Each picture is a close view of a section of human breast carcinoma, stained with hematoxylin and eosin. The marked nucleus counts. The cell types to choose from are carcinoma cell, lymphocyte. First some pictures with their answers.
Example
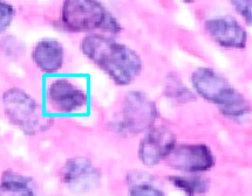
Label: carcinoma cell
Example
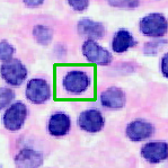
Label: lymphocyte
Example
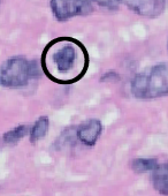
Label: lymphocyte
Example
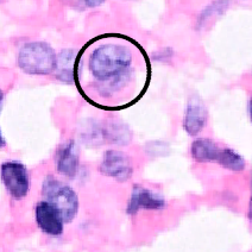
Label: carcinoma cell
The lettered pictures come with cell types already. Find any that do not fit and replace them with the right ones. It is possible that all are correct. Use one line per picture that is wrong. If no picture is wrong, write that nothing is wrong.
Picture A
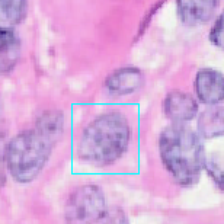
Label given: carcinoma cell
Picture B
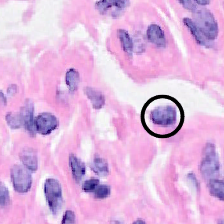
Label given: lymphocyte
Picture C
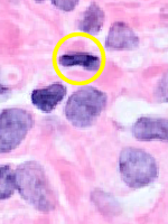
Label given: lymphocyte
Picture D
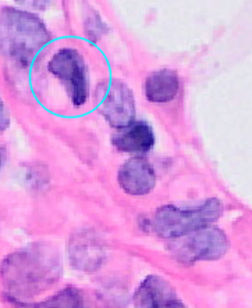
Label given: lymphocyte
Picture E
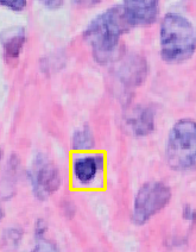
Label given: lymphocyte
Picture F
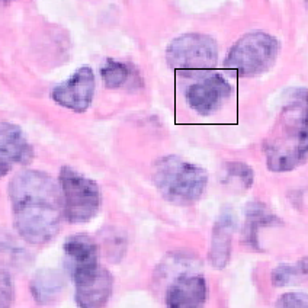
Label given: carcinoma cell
D is labelled lymphocyte; correct label: carcinoma cell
